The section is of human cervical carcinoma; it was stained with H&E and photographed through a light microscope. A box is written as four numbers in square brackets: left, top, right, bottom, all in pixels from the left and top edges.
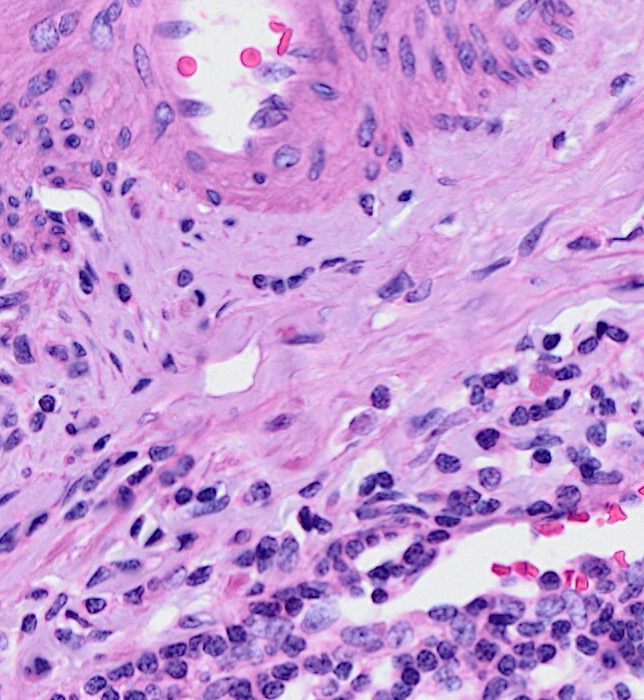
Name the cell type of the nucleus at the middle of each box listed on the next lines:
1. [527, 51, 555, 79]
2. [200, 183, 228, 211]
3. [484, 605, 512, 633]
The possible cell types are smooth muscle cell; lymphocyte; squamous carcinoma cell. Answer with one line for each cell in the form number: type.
1: smooth muscle cell
2: smooth muscle cell
3: lymphocyte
